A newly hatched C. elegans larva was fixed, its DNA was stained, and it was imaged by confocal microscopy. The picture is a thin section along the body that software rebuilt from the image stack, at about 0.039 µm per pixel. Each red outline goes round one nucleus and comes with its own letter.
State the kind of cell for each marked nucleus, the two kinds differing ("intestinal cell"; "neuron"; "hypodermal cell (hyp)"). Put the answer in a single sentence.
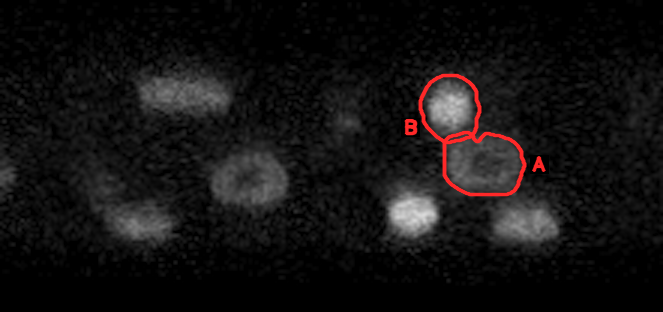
One is from an intestinal cell, namely A, and the other, B, is from a neuron.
